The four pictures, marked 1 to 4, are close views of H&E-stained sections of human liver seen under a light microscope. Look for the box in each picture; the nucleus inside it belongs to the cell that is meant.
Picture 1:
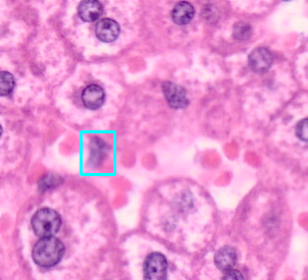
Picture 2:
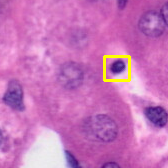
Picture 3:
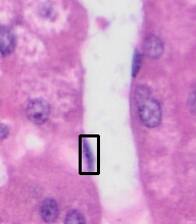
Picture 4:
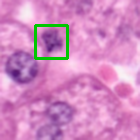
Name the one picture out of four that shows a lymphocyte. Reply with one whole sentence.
The picture with the lymphocyte is 2.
